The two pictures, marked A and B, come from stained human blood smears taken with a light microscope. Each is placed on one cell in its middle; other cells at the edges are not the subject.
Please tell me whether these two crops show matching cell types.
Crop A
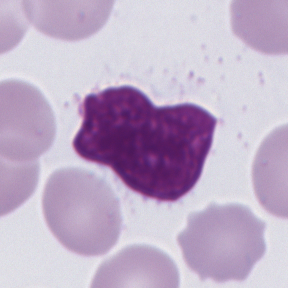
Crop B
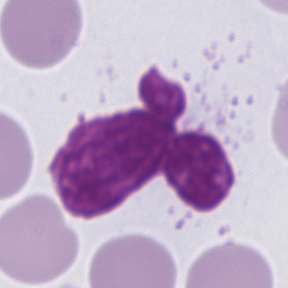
yes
